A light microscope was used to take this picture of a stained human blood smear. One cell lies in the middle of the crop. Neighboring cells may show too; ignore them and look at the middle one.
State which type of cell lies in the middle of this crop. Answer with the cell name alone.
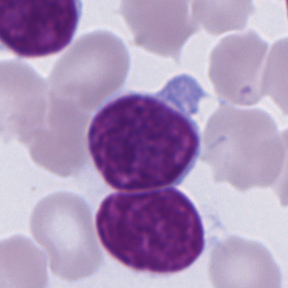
myeloblast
